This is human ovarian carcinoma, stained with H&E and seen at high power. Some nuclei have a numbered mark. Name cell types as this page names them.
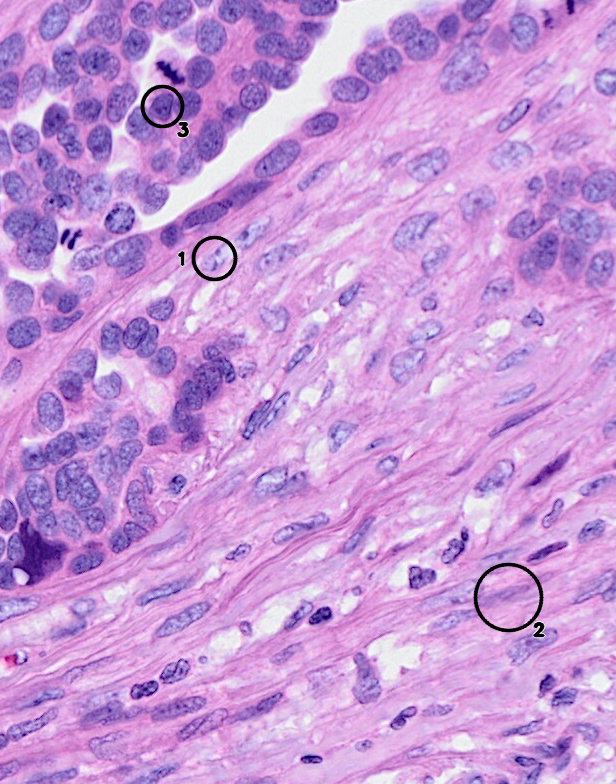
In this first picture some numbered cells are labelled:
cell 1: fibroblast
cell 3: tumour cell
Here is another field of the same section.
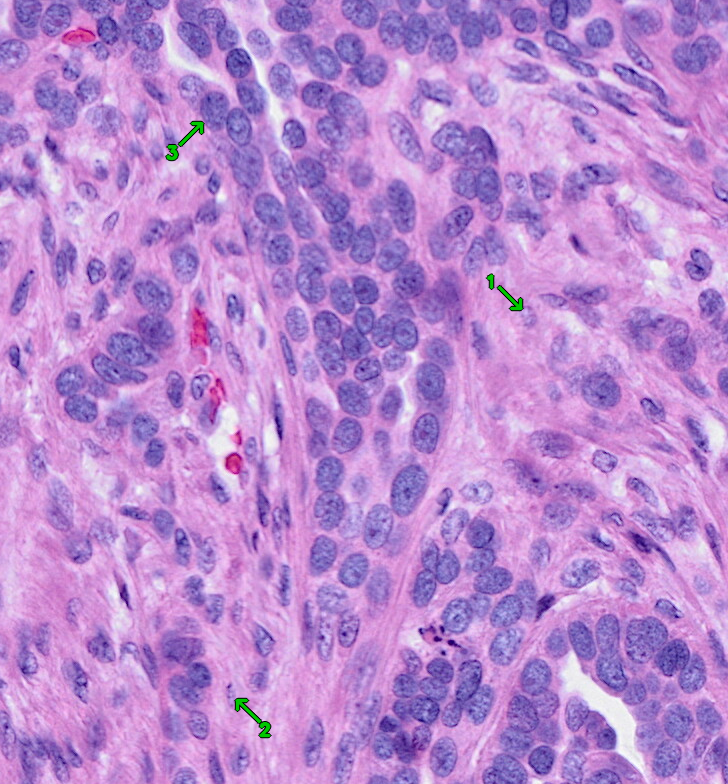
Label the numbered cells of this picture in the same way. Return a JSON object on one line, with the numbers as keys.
{"1": "fibroblast", "2": "fibroblast", "3": "tumour cell"}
